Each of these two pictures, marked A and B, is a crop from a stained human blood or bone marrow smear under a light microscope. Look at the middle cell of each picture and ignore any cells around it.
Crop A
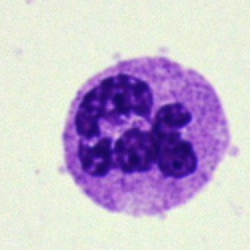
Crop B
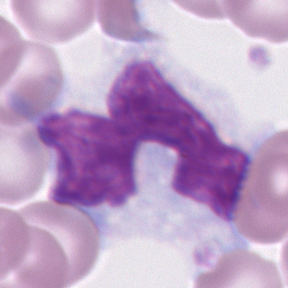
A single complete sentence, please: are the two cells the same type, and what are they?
No, crop A captures a segmented neutrophil; meanwhile crop B captures a monocyte.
